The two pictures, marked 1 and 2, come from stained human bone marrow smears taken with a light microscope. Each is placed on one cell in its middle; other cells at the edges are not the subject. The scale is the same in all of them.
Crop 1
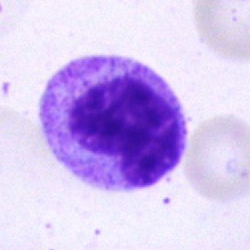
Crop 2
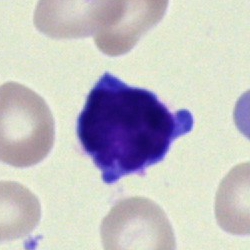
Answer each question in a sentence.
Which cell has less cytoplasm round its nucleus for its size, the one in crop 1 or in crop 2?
The nucleus fills more of the cell in crop 2 than in crop 1.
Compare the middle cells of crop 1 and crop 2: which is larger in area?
It is the cell in crop 1, about 2 times as large in area as the cell in crop 2.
